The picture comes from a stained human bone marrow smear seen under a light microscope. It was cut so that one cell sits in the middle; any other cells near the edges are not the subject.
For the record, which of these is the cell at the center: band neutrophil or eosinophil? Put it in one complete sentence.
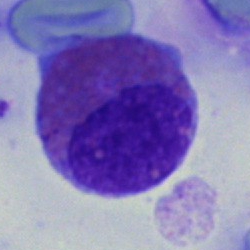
This crop has an eosinophil at its centre.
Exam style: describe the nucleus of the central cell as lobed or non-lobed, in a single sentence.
One compact mass makes up the whole nucleus, round, oval or kidney-shaped.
